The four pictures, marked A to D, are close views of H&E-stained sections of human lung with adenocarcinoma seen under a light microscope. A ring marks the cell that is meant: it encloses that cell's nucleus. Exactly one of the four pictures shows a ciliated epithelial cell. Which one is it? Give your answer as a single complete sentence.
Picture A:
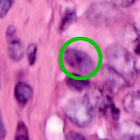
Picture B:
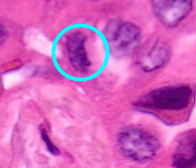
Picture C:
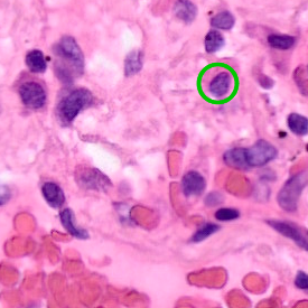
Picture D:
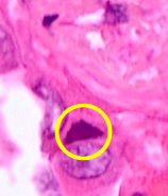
The picture with the ciliated epithelial cell is A.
